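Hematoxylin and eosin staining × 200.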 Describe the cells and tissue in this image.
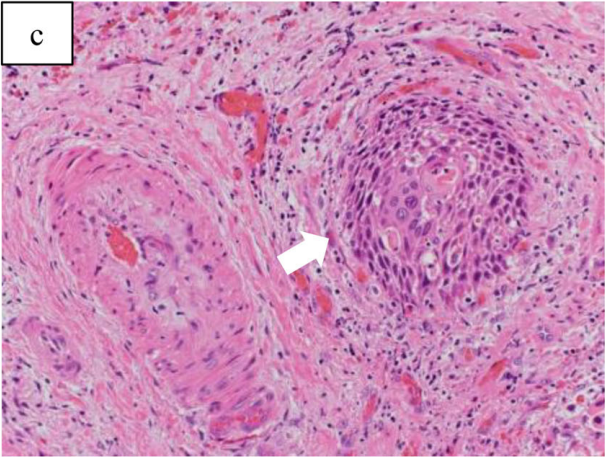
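This field shows a rounded nest of squamous cell carcinoma lying in fibrous tissue beside blood vessels. The tumour cells are polygonal with pink cytoplasm and enlarged dark nuclei, and small foci of keratinization appear inside the nest. To the left lies a thick-walled vessel with concentric layers of pink smooth muscle and red blood cells in its lumen. The surrounding stroma contains spindle cells, small vessels filled with red cells and scattered inflammatory cells.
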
